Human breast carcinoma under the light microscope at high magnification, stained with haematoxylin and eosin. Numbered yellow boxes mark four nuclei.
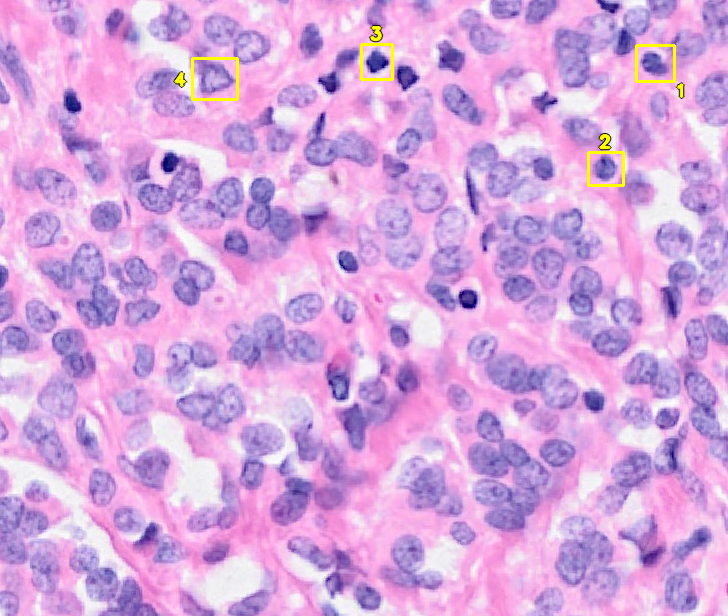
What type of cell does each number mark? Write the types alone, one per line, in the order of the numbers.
lymphocyte
lymphocyte
lymphocyte
carcinoma cell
